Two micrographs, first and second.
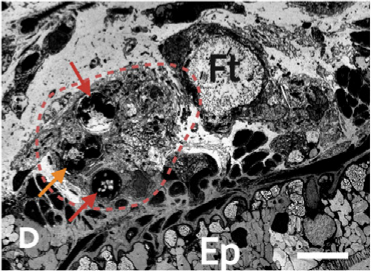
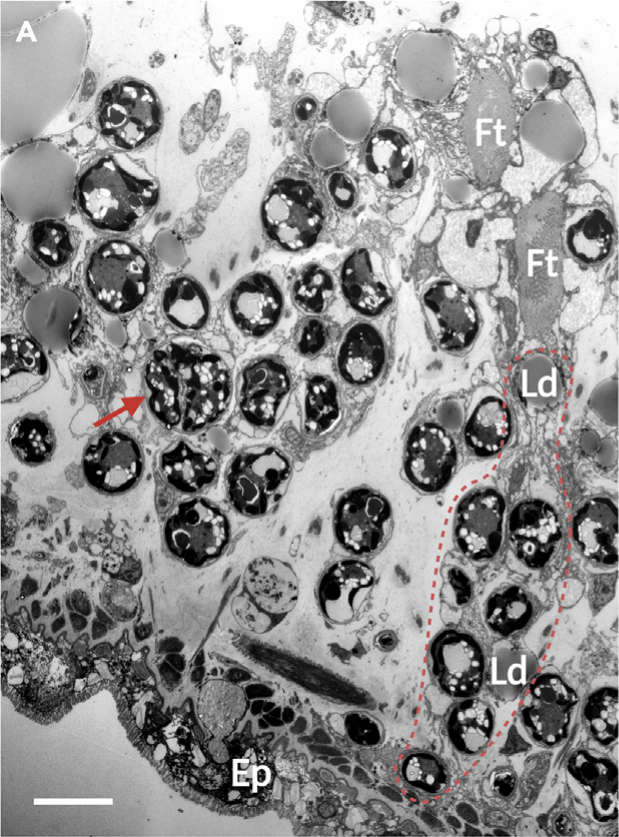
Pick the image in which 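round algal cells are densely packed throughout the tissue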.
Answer: The second image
